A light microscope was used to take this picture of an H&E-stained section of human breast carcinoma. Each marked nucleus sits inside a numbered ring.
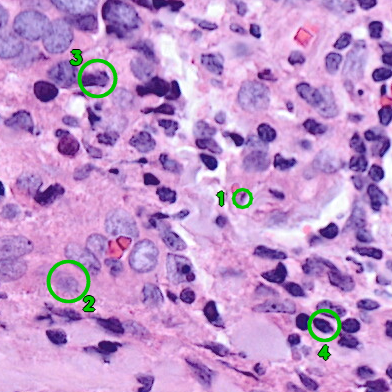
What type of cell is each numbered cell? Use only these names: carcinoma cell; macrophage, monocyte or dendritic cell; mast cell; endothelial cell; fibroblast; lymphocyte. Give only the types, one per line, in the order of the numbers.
endothelial cell
endothelial cell
carcinoma cell
lymphocyte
